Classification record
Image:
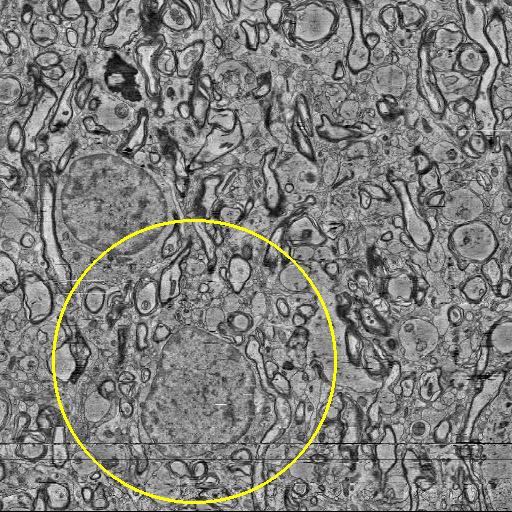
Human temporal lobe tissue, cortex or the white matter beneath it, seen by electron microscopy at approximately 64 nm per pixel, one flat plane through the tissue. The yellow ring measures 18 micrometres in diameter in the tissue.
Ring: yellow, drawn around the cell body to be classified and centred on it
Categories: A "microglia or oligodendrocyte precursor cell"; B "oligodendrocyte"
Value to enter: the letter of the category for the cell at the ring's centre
B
